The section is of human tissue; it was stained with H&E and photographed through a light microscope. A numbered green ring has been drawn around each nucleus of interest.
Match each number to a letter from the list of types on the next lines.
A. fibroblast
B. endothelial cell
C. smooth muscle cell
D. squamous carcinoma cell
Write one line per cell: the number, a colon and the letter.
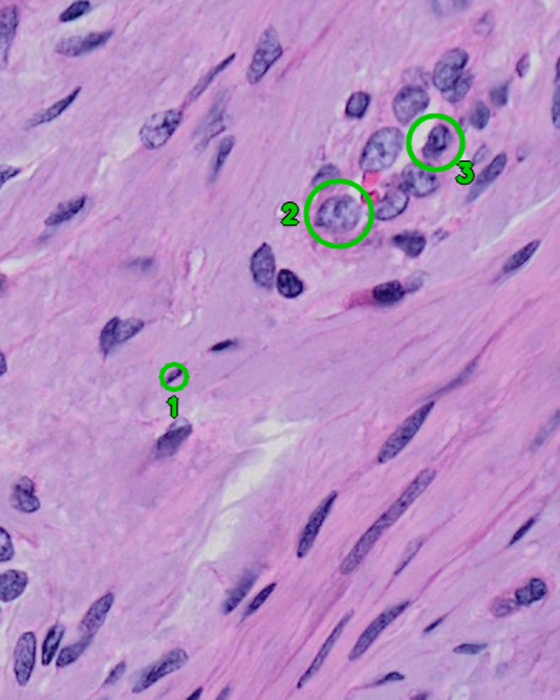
1: A
2: B
3: B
